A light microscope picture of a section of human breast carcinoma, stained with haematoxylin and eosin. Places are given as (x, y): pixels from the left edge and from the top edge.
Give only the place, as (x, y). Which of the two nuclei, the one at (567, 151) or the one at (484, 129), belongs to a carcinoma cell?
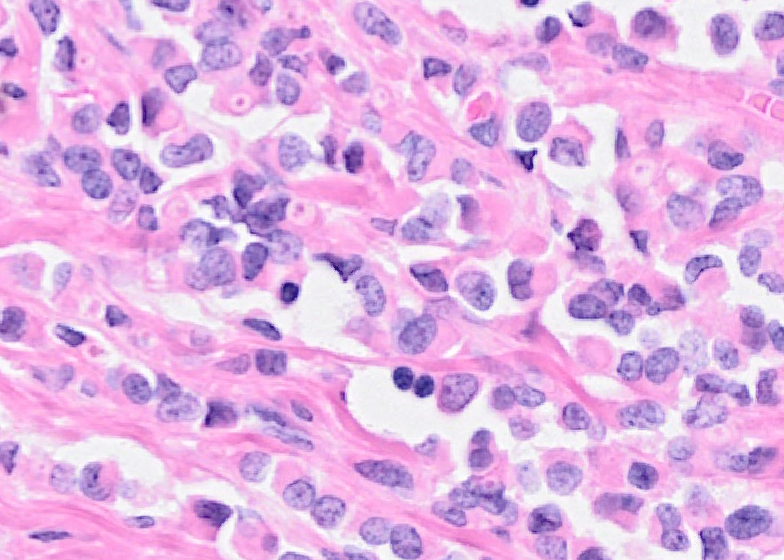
(567, 151)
